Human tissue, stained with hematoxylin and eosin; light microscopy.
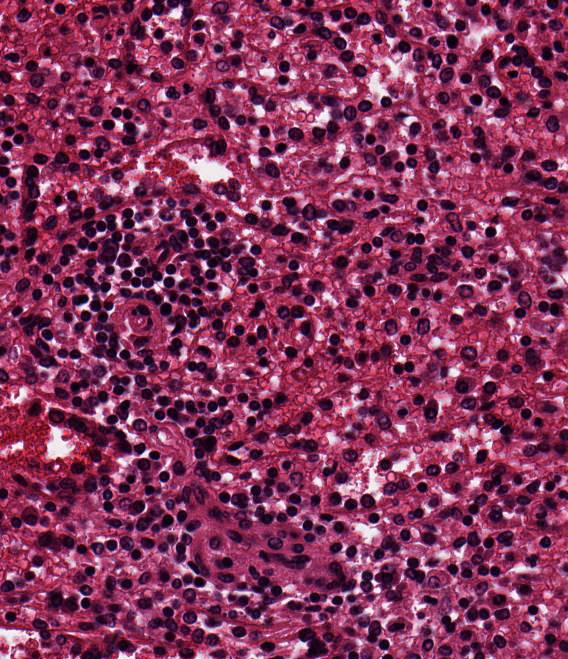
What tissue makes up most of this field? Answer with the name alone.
red pulp of the spleen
